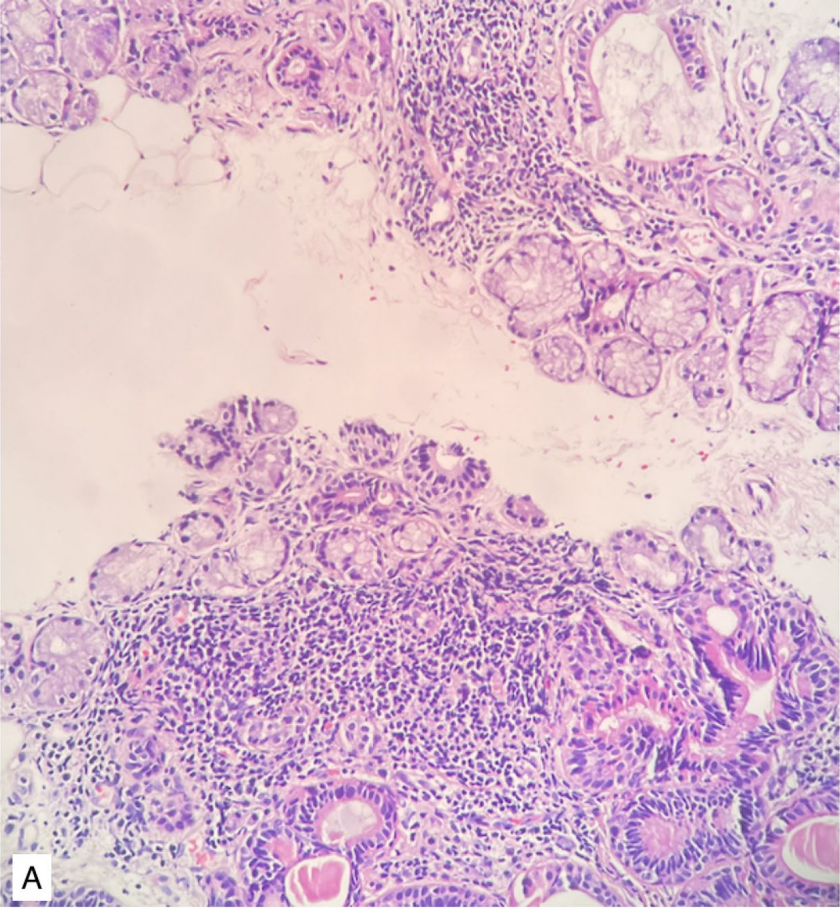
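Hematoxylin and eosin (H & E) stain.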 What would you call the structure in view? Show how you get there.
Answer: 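Dense sheets of small round dark-blue nuclei with scant cytoplasm. The dense infiltrate lies between acini and around ducts. The answer: lymphocytic foci.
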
